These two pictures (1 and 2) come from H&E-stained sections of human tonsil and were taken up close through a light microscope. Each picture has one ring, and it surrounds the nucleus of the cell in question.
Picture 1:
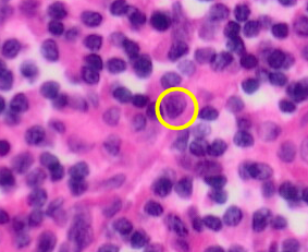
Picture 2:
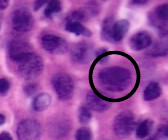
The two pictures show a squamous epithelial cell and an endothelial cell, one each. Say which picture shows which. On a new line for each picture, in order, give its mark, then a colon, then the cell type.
1: endothelial cell
2: squamous epithelial cell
